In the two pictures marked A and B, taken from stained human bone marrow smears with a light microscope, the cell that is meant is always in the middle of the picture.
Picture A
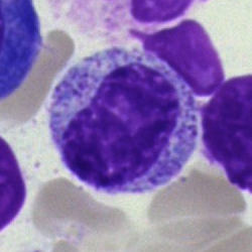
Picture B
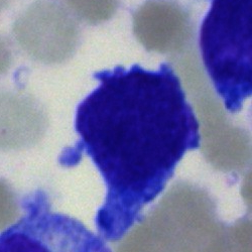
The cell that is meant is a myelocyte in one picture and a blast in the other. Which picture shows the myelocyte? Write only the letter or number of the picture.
A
